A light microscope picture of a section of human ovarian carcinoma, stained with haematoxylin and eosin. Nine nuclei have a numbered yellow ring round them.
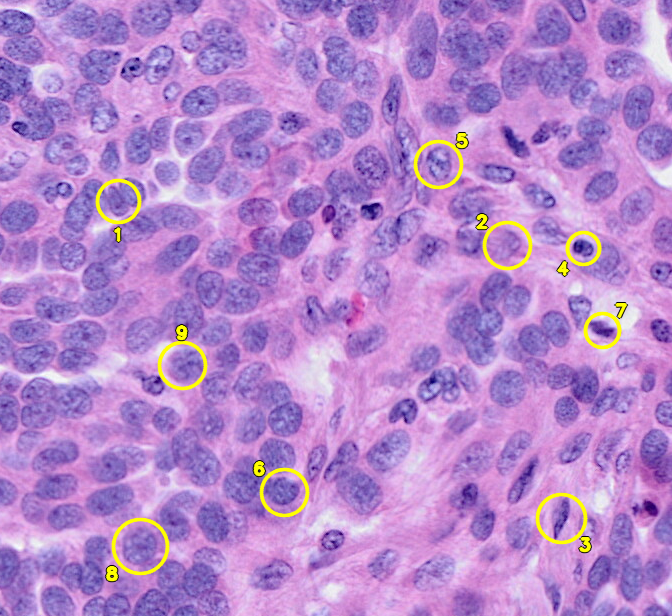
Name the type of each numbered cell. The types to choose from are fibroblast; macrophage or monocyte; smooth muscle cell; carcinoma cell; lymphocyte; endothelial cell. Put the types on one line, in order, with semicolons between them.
carcinoma cell; fibroblast; fibroblast; lymphocyte; fibroblast; carcinoma cell; fibroblast; carcinoma cell; carcinoma cell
